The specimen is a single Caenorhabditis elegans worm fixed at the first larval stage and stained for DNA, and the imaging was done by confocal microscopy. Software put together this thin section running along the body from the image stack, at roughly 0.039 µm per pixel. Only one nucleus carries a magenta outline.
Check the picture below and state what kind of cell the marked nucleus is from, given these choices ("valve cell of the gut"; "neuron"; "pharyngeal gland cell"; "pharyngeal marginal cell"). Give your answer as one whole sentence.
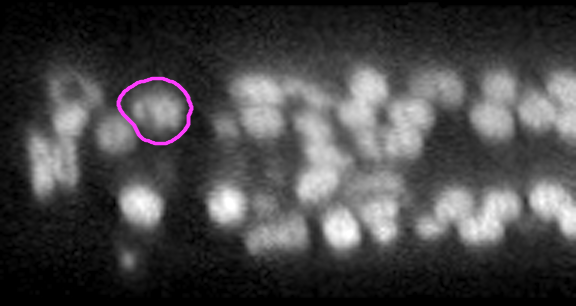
This is the nucleus of a pharyngeal marginal cell.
